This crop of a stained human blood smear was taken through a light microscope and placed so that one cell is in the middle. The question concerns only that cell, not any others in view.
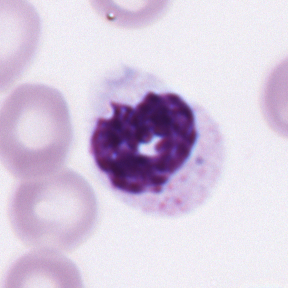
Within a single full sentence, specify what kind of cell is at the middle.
Whatever else lies nearby, the middle cell is a neutrophil.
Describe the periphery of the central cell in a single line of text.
The border of the cell is irregular, being either ragged or extended into projections.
